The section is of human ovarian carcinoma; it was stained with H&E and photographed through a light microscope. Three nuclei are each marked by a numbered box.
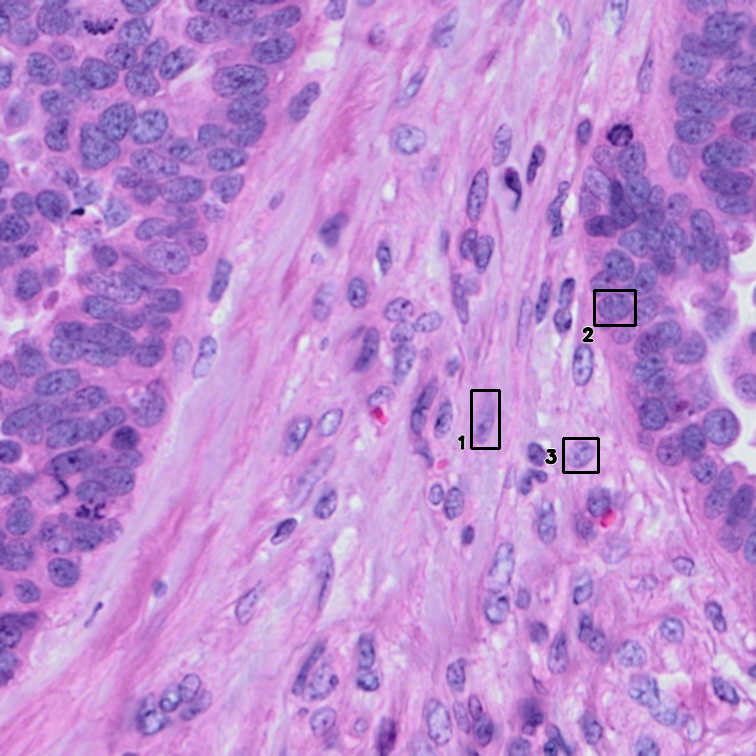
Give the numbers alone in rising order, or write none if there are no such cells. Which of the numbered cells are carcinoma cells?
2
